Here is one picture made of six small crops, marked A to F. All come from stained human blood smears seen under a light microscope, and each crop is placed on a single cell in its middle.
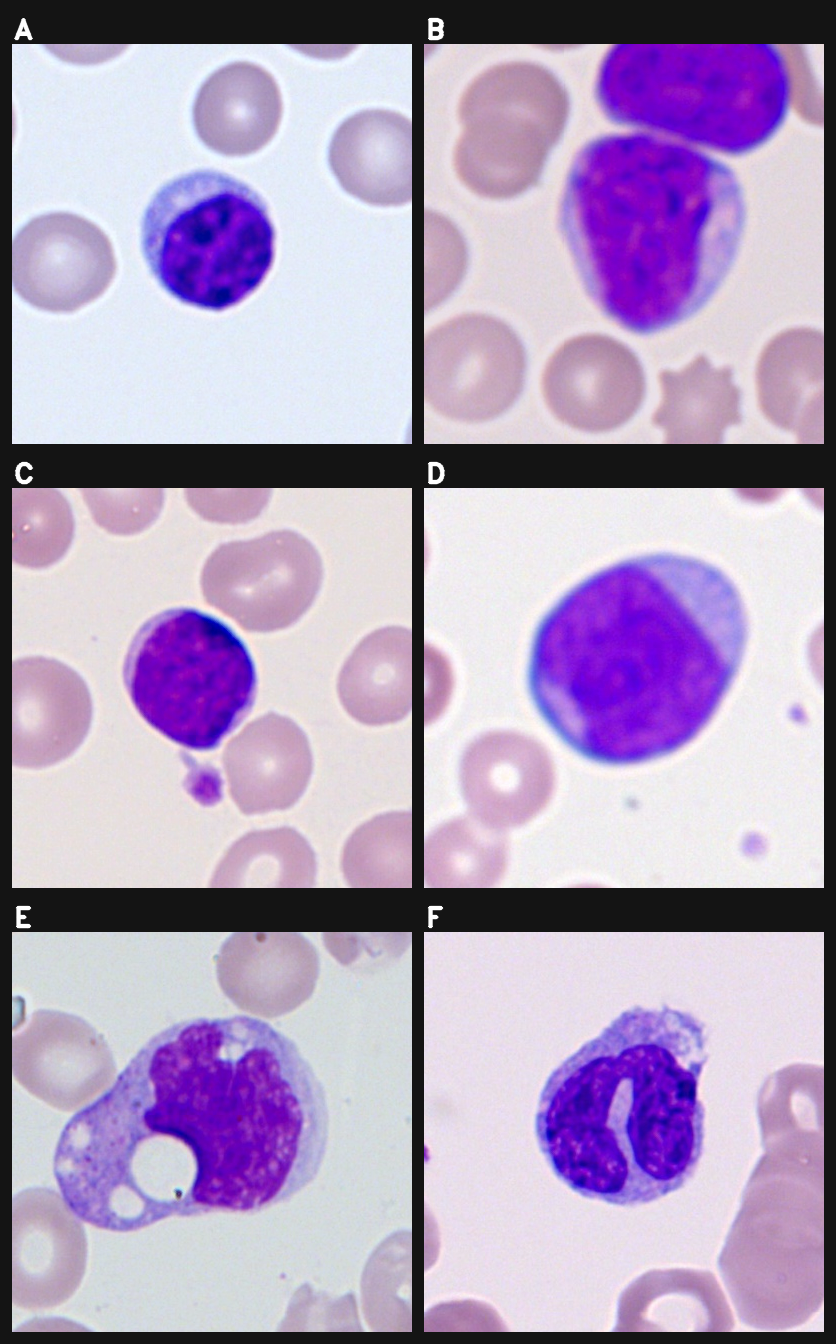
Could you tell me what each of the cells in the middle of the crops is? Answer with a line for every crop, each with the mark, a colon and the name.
A: lymphocyte
B: blast
C: lymphocyte
D: blast
E: monocyte
F: monocyte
